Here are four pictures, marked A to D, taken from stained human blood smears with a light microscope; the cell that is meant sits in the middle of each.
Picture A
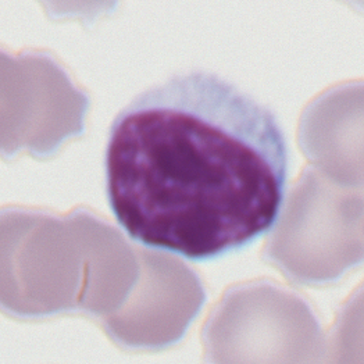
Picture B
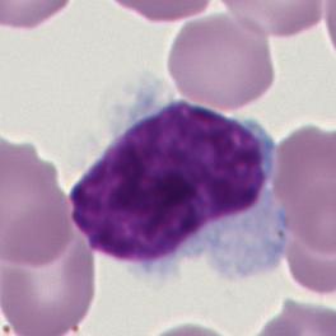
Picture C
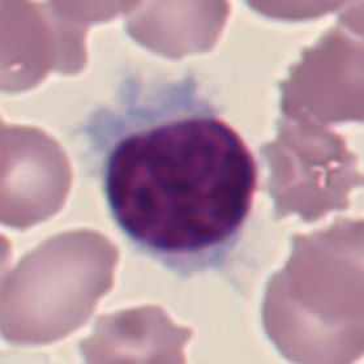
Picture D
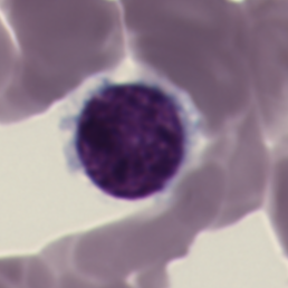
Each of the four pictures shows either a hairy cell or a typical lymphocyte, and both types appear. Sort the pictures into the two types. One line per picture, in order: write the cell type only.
typical lymphocyte
hairy cell
hairy cell
hairy cell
